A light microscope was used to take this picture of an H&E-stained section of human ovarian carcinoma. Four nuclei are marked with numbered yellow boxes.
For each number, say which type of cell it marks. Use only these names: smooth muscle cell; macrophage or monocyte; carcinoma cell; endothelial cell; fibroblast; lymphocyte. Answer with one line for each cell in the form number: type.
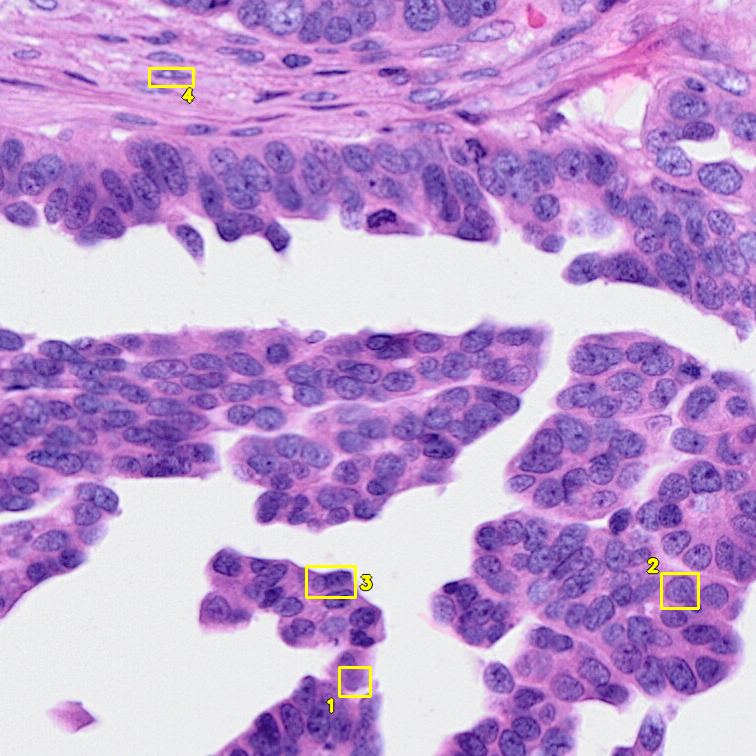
1: carcinoma cell
2: carcinoma cell
3: carcinoma cell
4: fibroblast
